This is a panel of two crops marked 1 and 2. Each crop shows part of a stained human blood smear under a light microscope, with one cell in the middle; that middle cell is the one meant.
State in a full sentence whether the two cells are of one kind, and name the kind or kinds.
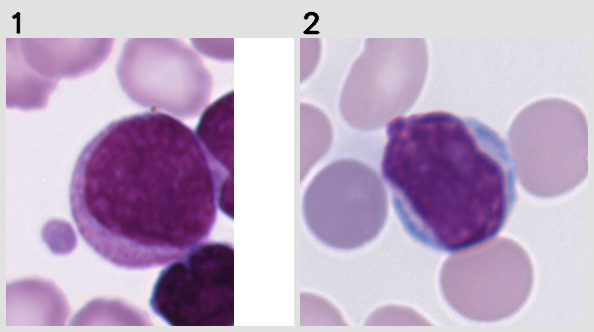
No, what crop 1 shows is a blast, and what crop 2 shows is a lymphocyte.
